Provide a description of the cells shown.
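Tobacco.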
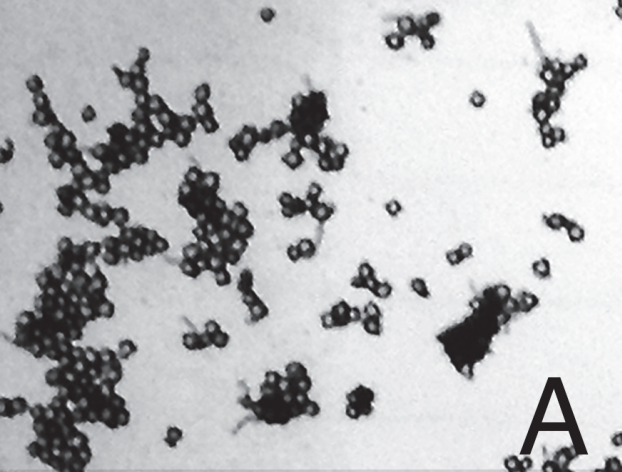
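The grains are small, round and dark, of much the same size, and many are packed into large irregular aggregates, one of them a dense black mass. Smaller groups of a few grains and single grains lie scattered over the pale background. Only a few short, faint tubes can be made out growing from the grains.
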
